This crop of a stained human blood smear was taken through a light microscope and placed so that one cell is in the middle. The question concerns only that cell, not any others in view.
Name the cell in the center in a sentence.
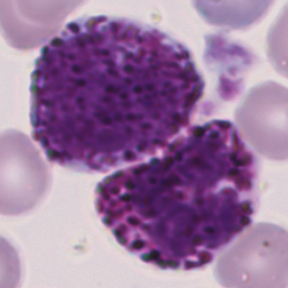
Whatever else lies nearby, the middle cell is a basophil.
